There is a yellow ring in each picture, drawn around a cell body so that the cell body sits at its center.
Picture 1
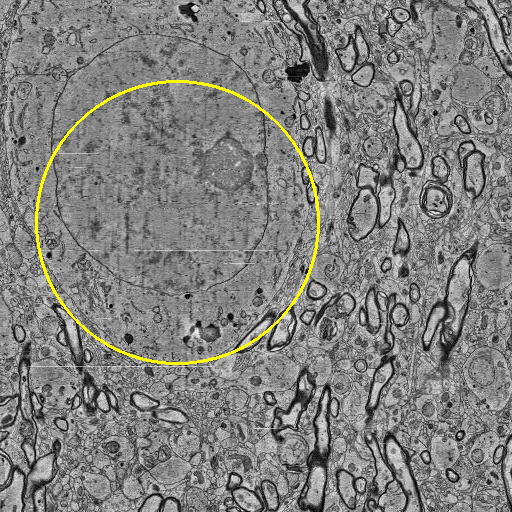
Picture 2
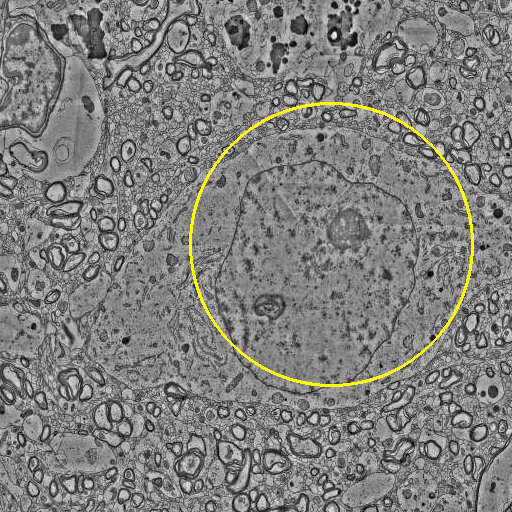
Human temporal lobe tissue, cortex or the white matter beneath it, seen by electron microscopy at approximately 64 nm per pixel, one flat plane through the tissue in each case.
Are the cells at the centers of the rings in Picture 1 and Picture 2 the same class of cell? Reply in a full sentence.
Yes, the two cells are the same class of cell.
